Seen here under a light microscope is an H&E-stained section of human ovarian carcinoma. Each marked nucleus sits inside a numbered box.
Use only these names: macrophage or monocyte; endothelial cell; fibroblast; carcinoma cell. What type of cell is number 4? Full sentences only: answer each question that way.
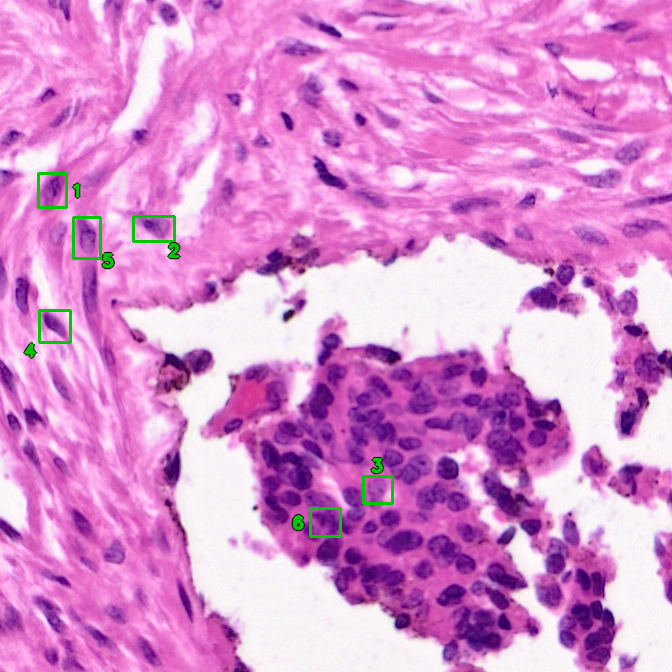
In this section, number 4 marks a fibroblast.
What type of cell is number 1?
The numbered cell 1 in this field is a fibroblast.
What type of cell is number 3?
In this section, number 3 marks a carcinoma cell.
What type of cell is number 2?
Identified as a fibroblast is the cell bearing the number 2.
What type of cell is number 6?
The cell to which the number 6 is assigned is a carcinoma cell.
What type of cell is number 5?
Number 5 is placed on a fibroblast here.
